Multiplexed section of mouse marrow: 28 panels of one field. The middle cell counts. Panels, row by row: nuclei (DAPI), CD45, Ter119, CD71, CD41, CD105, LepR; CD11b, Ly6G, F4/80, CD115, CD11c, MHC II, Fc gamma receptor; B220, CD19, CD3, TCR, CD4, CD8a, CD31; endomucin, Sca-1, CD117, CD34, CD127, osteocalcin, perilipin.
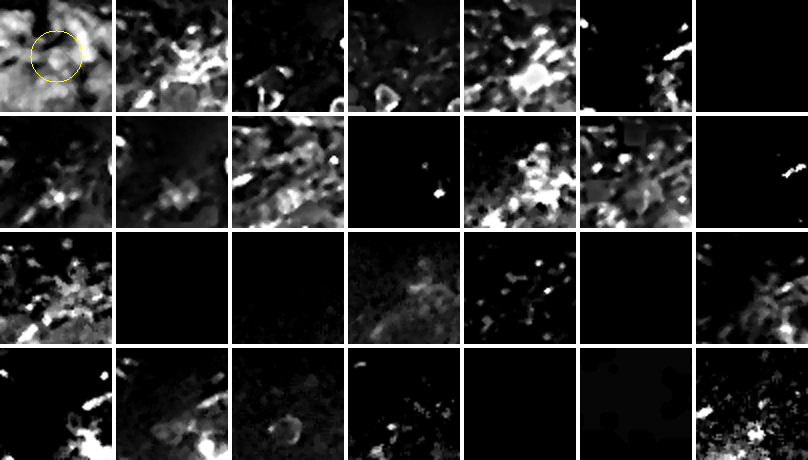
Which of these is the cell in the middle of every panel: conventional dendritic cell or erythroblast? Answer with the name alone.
conventional dendritic cell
